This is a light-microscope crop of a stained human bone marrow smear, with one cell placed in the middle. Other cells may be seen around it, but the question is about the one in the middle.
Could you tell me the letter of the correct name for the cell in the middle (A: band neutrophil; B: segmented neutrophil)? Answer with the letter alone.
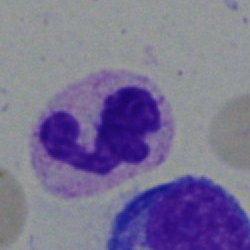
B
